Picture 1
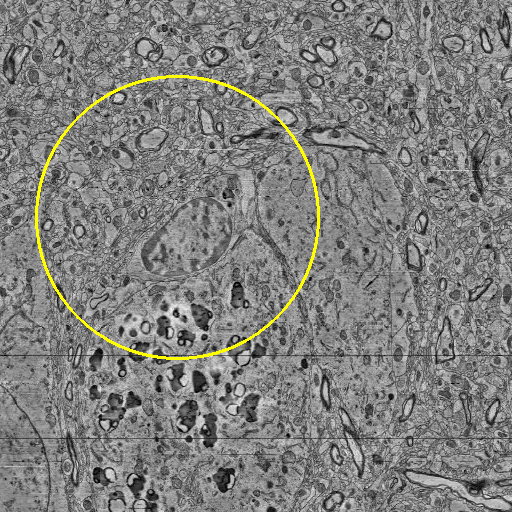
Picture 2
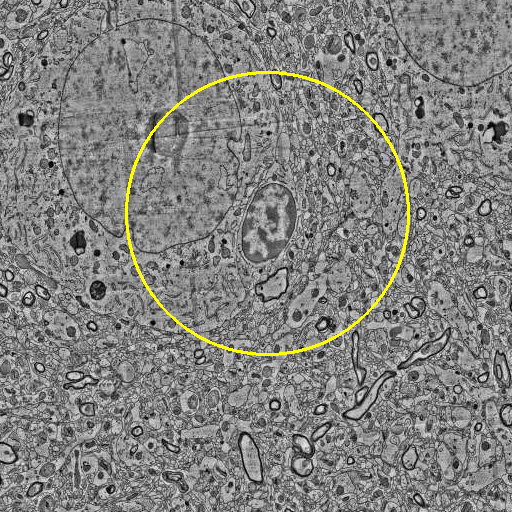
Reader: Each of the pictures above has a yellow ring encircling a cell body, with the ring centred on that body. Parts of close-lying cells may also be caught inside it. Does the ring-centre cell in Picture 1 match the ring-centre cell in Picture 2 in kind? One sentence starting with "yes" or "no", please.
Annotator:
Yes, Picture 1 and Picture 2 show ring-centre cells of a single kind.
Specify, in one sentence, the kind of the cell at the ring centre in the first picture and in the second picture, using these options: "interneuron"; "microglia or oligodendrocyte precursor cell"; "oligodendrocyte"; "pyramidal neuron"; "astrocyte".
Each of the two cells is a microglial cell or oligodendrocyte precursor cell.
